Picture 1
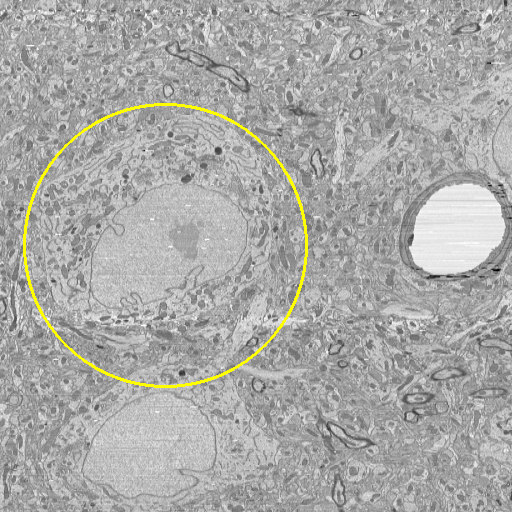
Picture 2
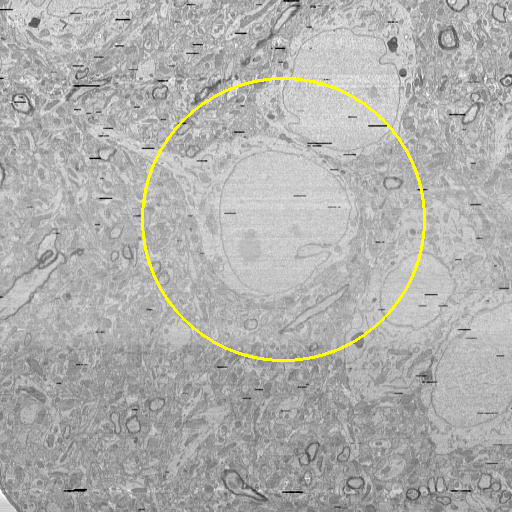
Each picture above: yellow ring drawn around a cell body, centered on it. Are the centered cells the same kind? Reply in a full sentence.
No, the two cells are two kinds of cell.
